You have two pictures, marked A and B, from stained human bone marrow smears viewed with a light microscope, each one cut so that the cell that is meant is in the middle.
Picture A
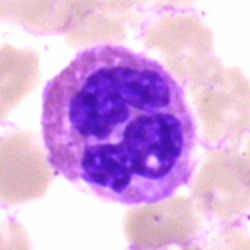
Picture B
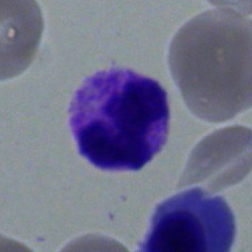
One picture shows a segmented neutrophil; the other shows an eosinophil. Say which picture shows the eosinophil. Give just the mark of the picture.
A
